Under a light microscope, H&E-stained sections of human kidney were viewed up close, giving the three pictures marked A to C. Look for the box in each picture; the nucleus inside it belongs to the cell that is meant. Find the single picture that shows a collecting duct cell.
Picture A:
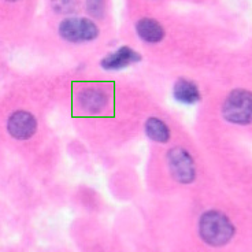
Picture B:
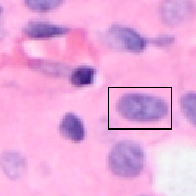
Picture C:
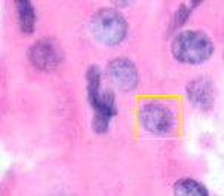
B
